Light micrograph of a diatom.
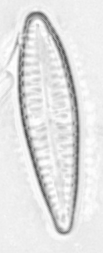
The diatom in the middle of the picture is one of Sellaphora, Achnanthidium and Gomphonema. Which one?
Gomphonema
